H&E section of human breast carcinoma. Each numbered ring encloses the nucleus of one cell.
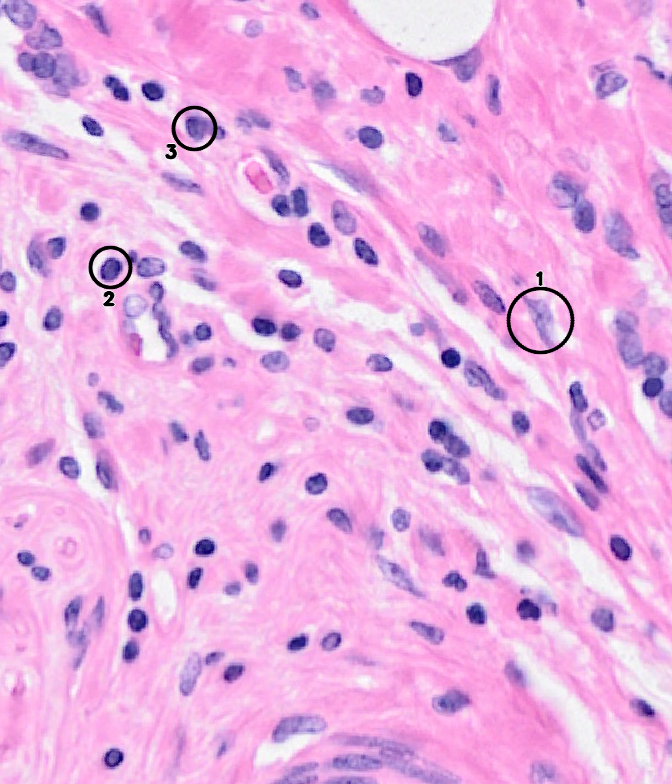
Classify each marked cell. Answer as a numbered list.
1. fibroblast
2. lymphocyte
3. lymphocyte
